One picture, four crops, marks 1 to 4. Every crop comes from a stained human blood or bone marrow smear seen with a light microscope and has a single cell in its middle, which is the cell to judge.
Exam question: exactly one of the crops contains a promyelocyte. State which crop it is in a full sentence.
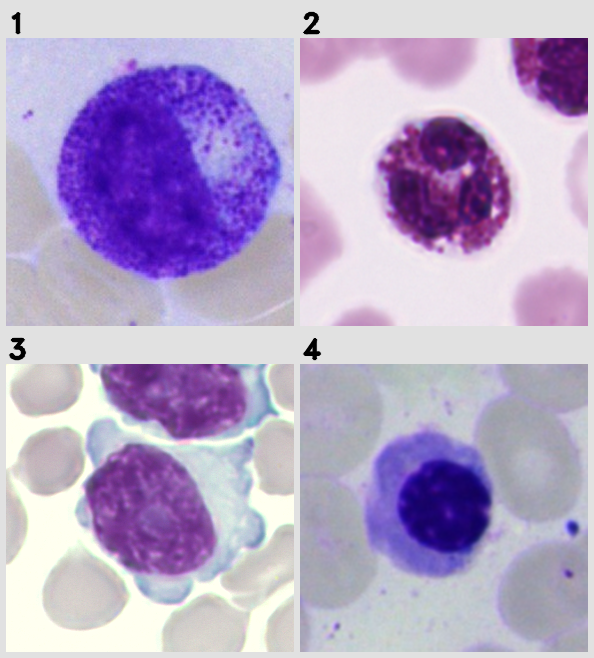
Only in crop 1 is a promyelocyte shown.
